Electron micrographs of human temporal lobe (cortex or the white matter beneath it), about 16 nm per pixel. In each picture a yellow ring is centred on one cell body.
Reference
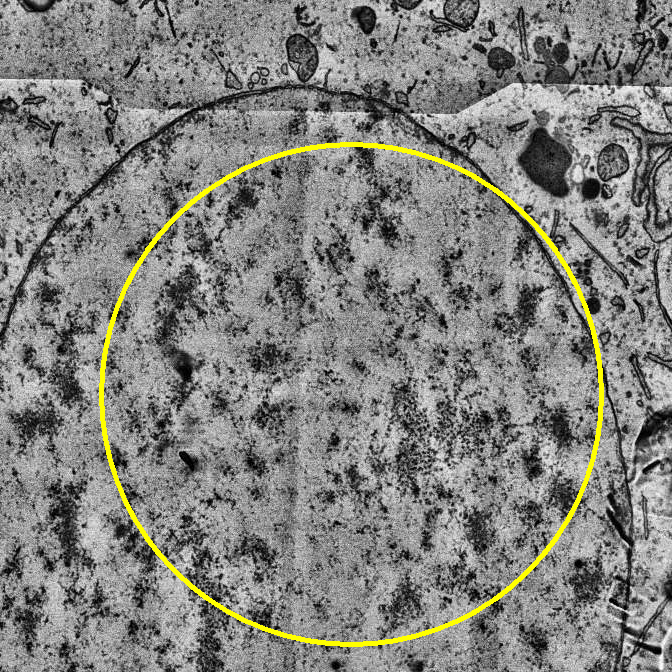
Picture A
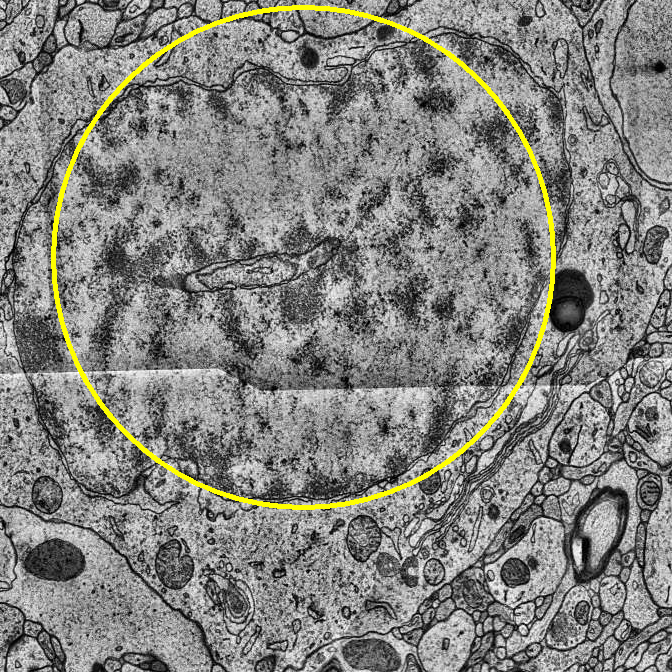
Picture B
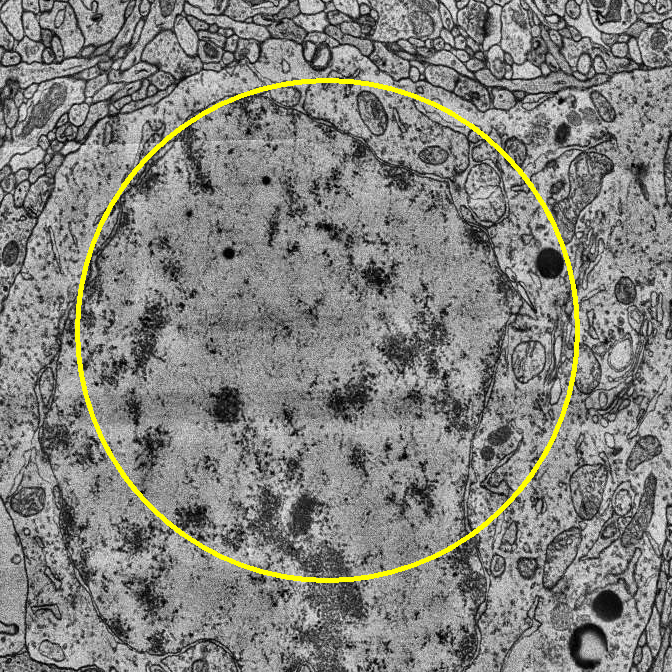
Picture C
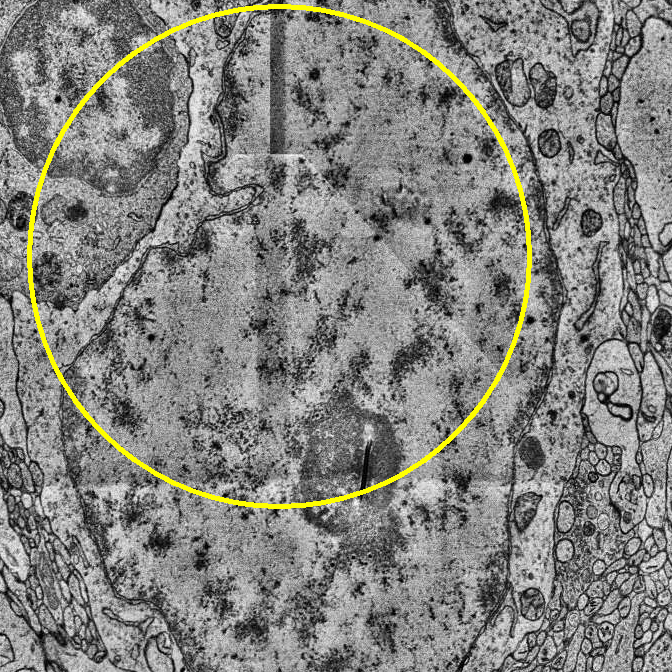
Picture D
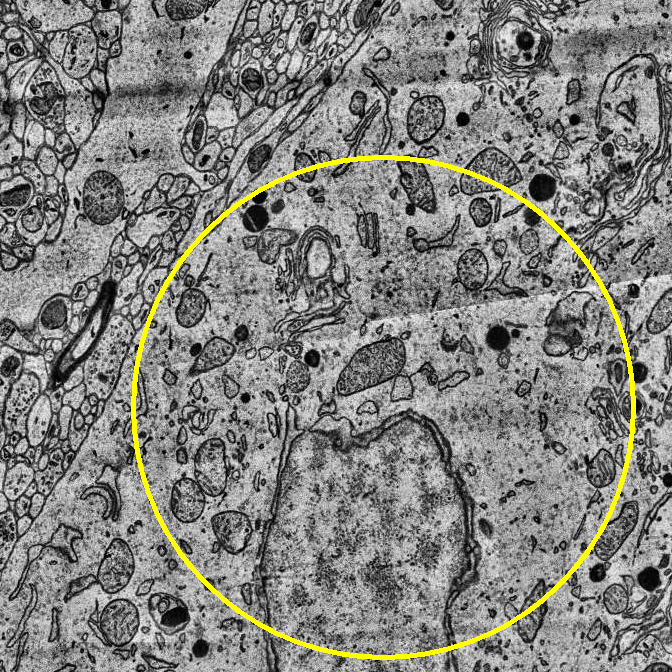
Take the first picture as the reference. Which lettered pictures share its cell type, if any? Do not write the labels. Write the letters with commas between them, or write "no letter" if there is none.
D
